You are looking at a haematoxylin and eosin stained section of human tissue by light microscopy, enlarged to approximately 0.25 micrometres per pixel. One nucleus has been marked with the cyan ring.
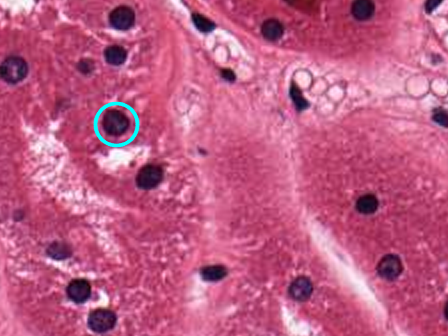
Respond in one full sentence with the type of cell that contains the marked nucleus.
Located in a proximal tubule cell is the marked nucleus.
